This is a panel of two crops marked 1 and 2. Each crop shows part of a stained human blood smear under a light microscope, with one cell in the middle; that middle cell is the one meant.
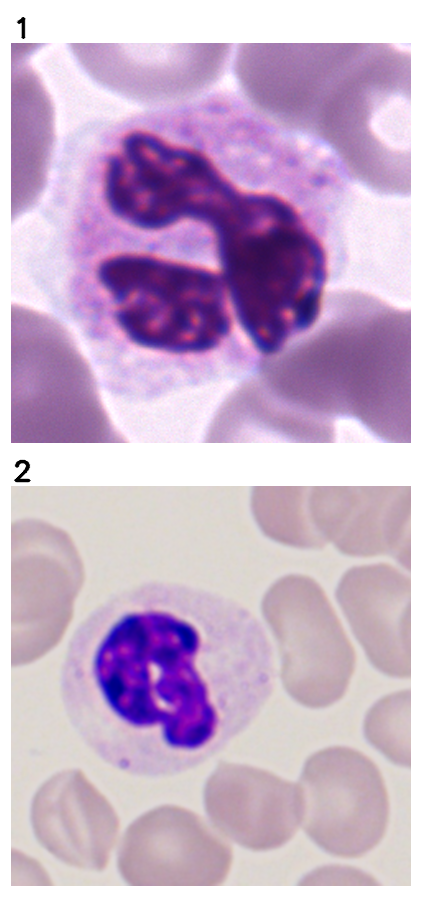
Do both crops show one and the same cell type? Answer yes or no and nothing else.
yes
